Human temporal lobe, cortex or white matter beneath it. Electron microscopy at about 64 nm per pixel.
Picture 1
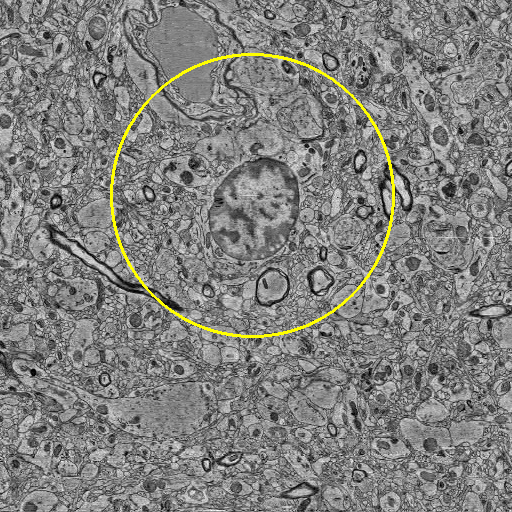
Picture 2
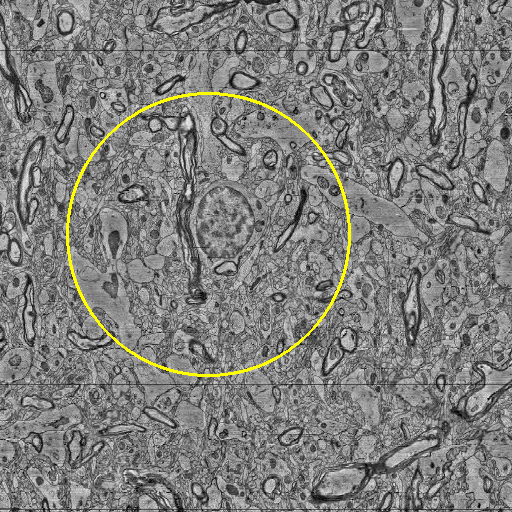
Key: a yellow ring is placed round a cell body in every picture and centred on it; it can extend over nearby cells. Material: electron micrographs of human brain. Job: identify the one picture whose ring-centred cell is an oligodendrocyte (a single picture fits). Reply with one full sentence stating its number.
Picture 2 is the one with the sought cell at the centre of its ring.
